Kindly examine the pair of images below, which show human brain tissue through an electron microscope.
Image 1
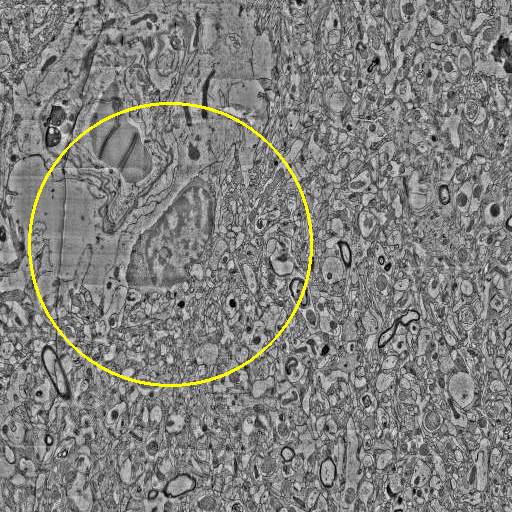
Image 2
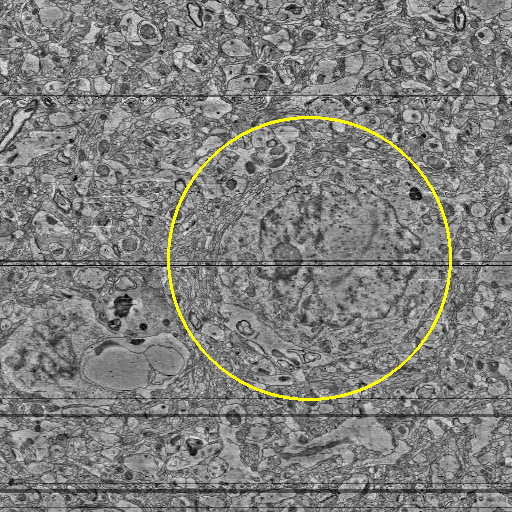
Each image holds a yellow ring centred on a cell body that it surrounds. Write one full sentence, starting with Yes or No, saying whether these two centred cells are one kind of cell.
No, the cells at the centres of the yellow rings belong to two kinds of cell.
